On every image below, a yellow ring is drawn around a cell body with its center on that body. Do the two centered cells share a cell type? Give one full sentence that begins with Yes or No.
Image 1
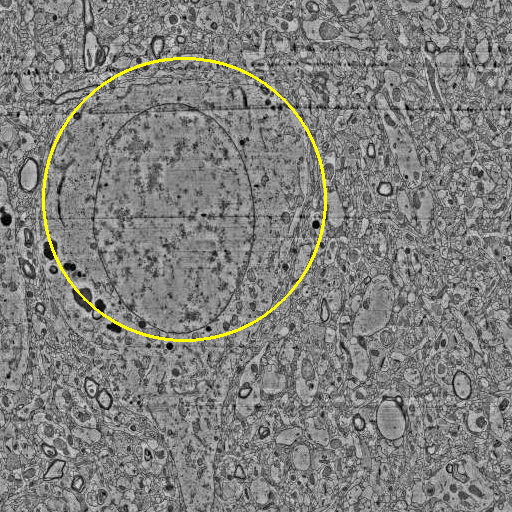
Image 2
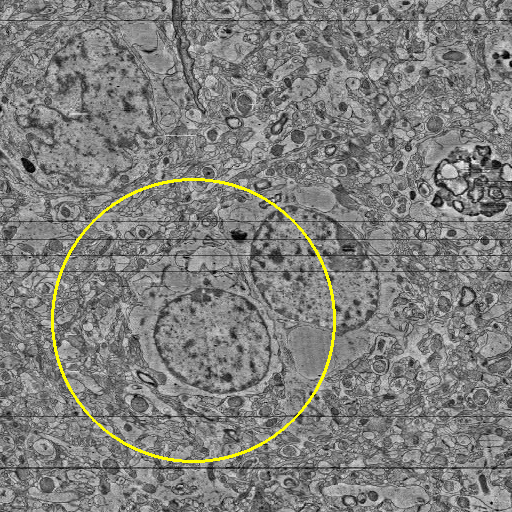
No, the centered cells in the two images are of two separate cell types.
